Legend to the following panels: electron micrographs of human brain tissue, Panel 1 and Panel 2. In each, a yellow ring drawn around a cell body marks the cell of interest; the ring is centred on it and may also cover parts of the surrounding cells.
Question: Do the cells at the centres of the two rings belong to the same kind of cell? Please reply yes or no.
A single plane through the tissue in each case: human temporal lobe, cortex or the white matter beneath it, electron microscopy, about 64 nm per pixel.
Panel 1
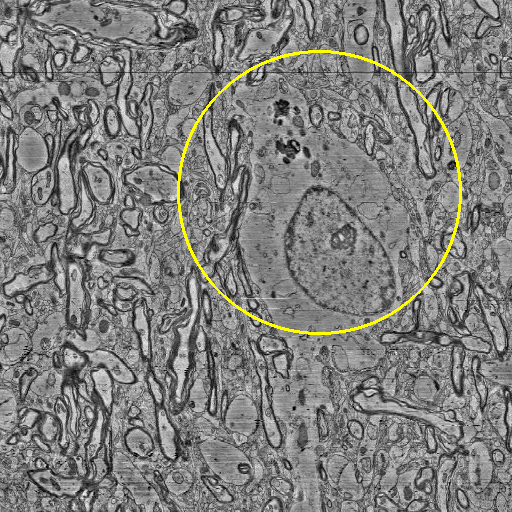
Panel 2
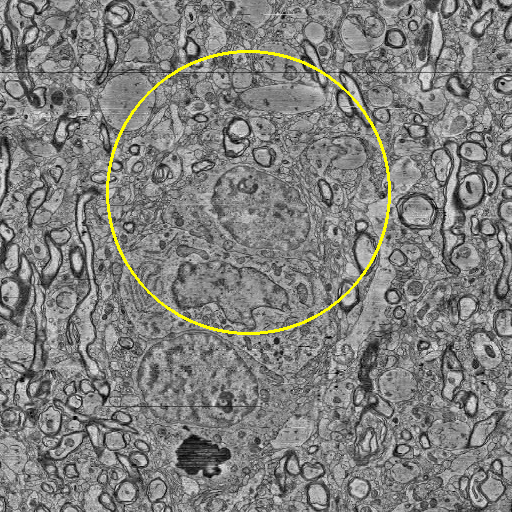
no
